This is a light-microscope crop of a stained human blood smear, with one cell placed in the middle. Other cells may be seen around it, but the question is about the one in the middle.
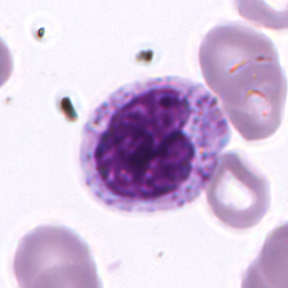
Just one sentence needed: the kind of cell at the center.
The centered cell in this crop is a band neutrophil.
